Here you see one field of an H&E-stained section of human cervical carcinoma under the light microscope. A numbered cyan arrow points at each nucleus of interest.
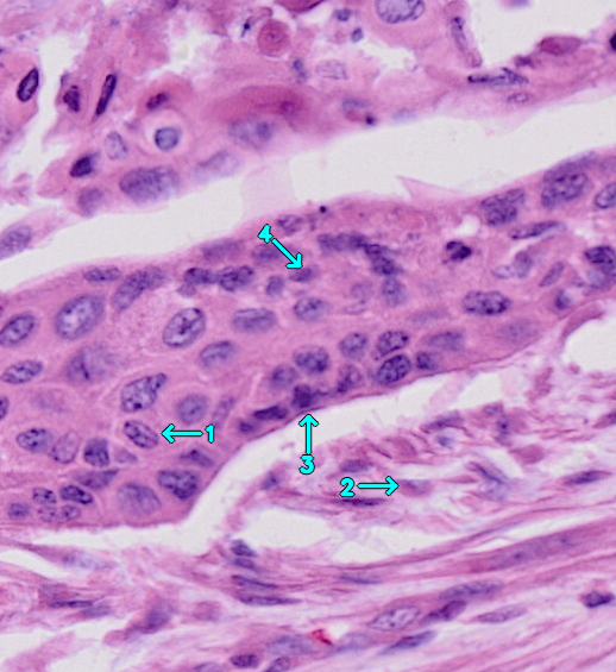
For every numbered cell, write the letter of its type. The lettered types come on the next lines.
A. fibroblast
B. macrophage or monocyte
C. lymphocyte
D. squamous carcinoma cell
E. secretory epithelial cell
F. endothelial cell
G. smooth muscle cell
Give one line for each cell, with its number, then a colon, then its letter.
1: D
2: A
3: D
4: D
